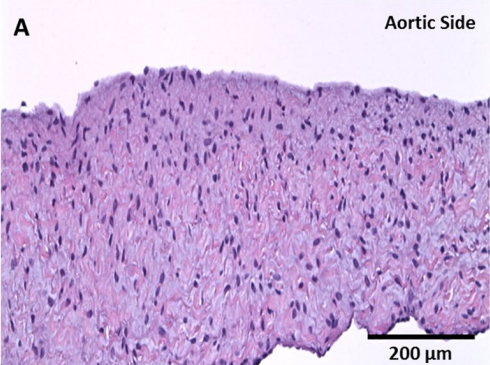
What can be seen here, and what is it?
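This is a section through a heart valve cusp, showing its cells embedded in abundant extracellular matrix. The matrix stains pink to pale violet and has a fine, wavy fibrous texture throughout. Dark purple, oval to spindle-shaped nuclei are scattered fairly evenly and densely through the whole thickness. No clusters of rounded cells or focal collections of other cells are seen.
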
